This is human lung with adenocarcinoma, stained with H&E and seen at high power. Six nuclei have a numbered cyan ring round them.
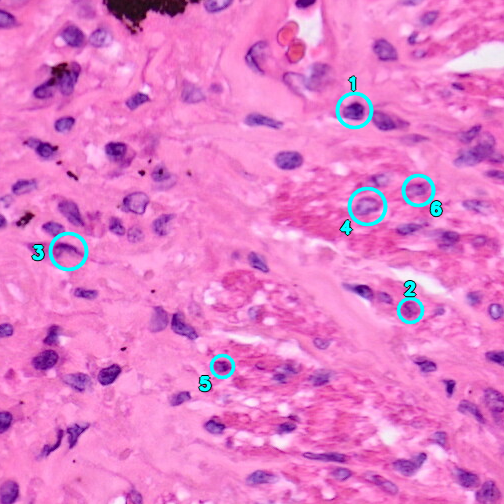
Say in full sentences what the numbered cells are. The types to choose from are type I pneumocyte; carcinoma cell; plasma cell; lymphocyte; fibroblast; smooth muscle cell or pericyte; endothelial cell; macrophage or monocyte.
Cell 1 is a lymphocyte. Cells 2, 4, 5 and 6 are smooth muscle cells or pericytes. Cell 3 is a plasma cell.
